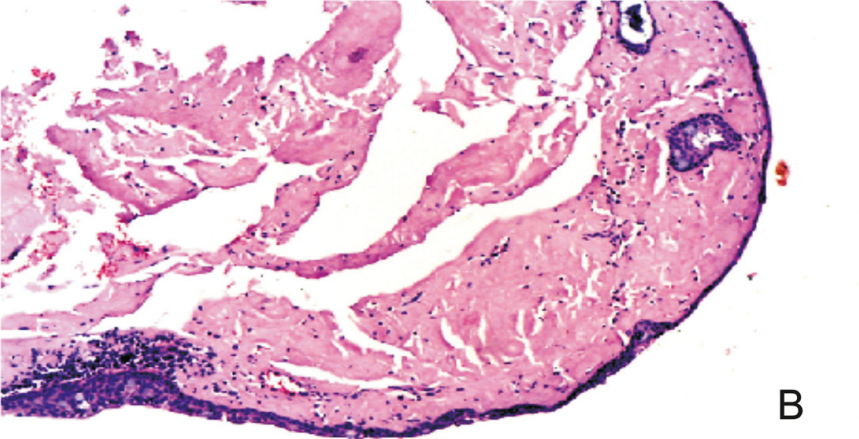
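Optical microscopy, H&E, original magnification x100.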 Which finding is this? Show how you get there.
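Broad pale pink structureless masses fill most of the stroma. The masses are cracked into clefts and lack fibre or cell structure. Scattered nuclei lie between the pink masses. On this evidence: amorphous eosinophilic material.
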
